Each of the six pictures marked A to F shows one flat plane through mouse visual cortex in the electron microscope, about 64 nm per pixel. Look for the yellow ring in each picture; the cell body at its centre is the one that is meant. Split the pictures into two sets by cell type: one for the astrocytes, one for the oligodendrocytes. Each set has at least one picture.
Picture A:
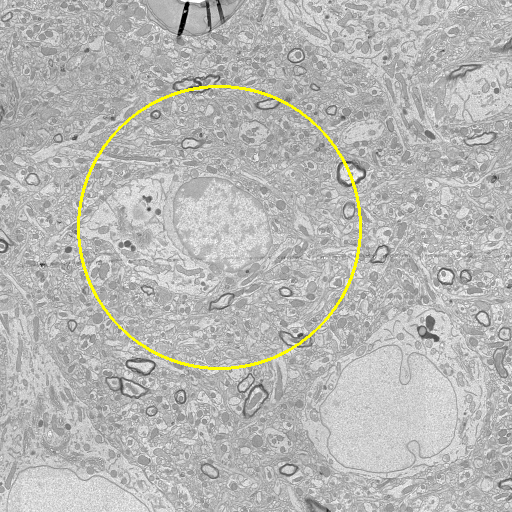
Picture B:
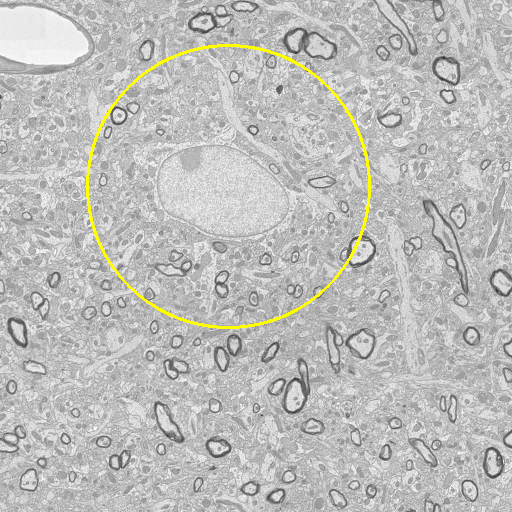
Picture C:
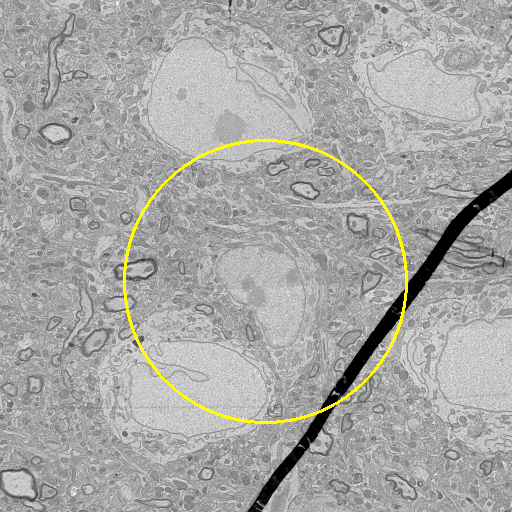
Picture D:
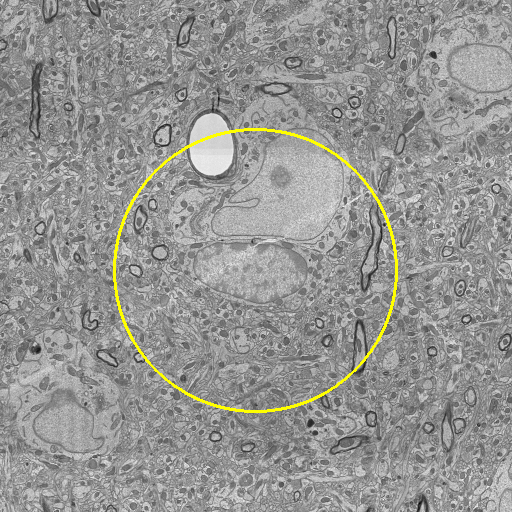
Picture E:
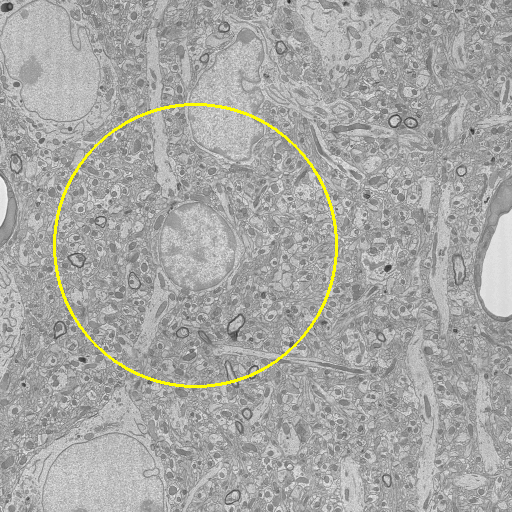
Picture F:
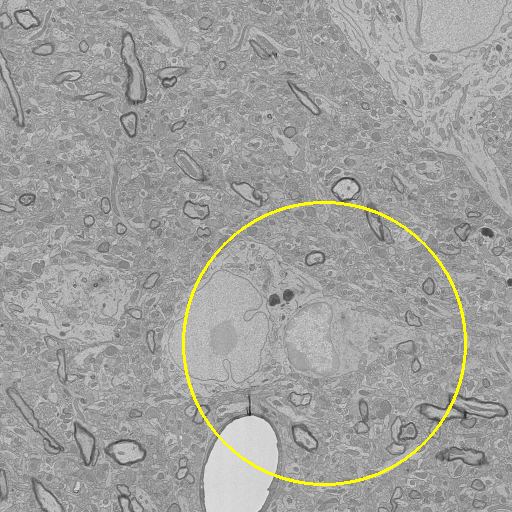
Pictures B and C show astrocytes, while pictures A, D, E and F show oligodendrocytes.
